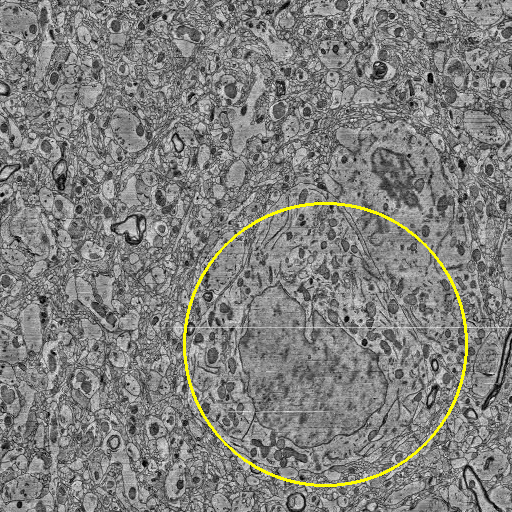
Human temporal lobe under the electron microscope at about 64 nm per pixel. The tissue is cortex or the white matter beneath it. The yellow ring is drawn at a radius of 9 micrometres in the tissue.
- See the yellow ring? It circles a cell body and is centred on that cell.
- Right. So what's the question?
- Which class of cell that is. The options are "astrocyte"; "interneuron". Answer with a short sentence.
The centre of the ring holds an interneuron.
